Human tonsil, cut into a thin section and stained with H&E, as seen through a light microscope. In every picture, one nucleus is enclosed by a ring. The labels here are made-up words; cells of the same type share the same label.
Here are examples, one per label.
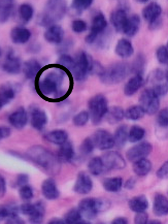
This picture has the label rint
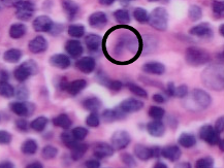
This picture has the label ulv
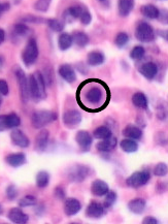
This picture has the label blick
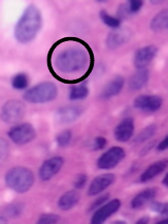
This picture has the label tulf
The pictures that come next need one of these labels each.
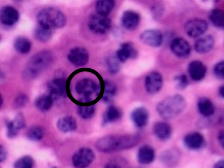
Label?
blick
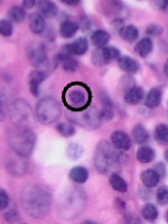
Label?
ulv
